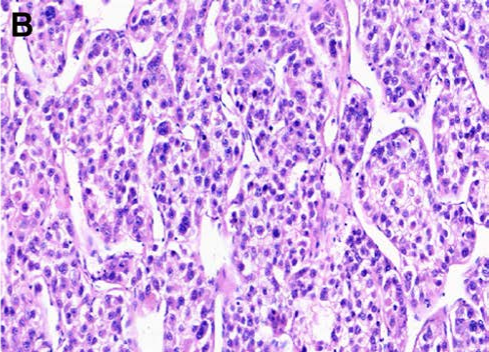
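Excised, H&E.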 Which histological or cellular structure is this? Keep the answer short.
Trabecular architecture.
